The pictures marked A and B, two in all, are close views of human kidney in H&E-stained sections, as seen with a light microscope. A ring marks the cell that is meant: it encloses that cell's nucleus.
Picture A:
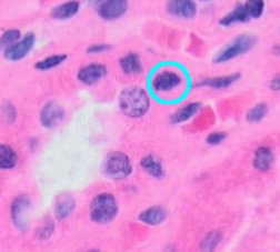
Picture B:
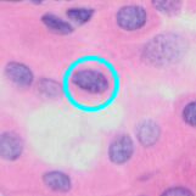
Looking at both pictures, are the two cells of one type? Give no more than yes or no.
yes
